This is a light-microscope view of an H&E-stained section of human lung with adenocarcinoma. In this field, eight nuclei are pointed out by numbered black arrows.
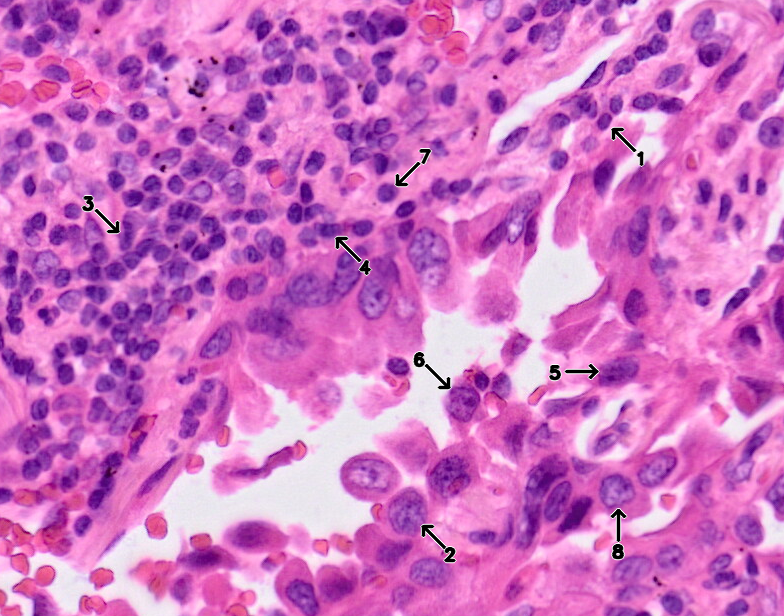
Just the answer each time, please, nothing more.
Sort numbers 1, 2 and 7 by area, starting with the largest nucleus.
2, 7, 1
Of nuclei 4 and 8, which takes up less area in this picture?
4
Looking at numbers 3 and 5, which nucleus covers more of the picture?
5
